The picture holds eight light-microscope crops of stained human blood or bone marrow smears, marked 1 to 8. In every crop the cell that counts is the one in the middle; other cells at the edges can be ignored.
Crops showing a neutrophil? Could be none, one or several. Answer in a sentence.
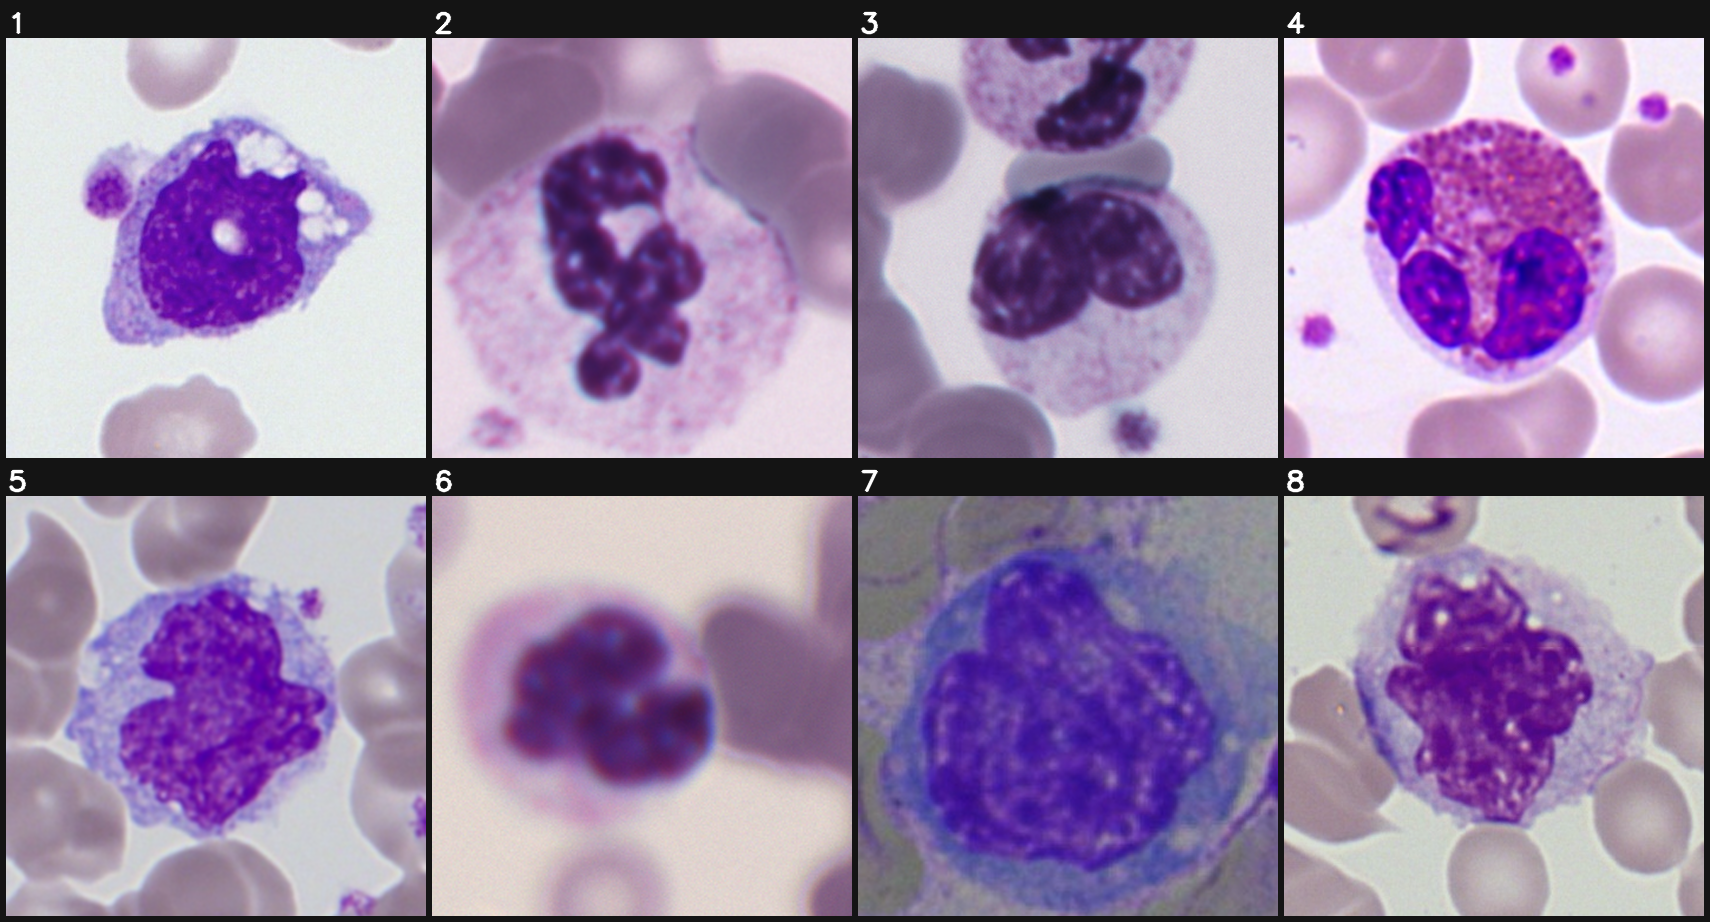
The cells at the centre of crops 2, 3 and 6 represent neutrophils.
